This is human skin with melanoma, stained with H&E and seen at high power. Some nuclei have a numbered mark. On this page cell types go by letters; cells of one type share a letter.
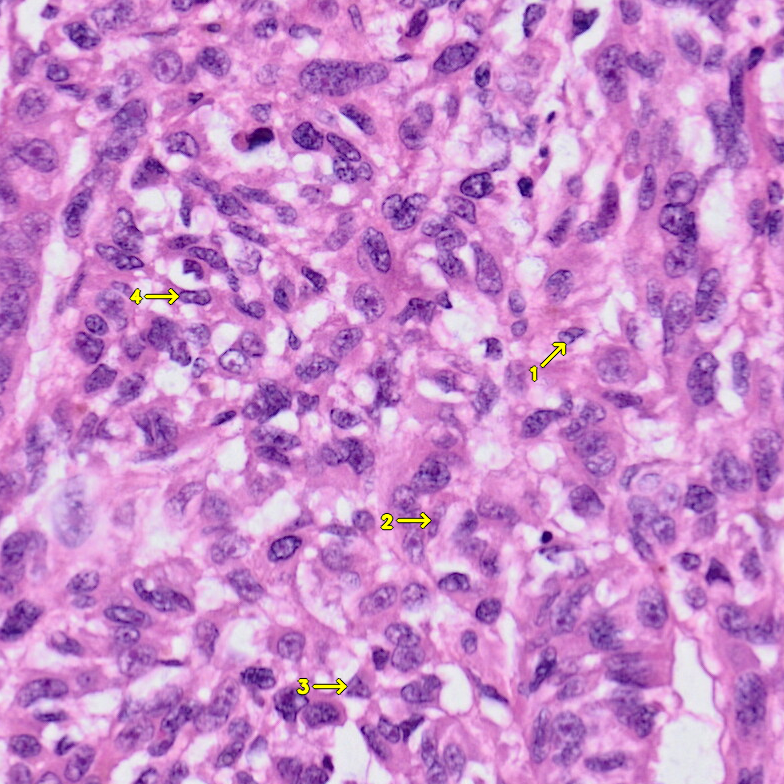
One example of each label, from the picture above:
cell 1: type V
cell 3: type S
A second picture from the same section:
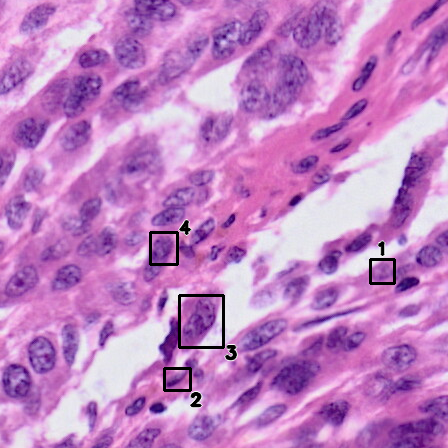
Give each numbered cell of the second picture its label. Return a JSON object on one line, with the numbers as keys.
{"1": "type S", "2": "type V", "3": "type S", "4": "type S"}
